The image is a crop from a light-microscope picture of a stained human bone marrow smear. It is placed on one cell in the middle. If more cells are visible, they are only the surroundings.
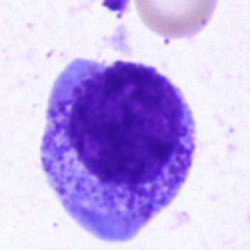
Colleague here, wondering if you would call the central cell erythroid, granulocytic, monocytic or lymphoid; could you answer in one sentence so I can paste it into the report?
The granulocytic lineage is the lineage of the cell in the middle.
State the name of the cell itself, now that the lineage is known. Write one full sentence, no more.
Seen at the centre of the crop is a promyelocyte.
